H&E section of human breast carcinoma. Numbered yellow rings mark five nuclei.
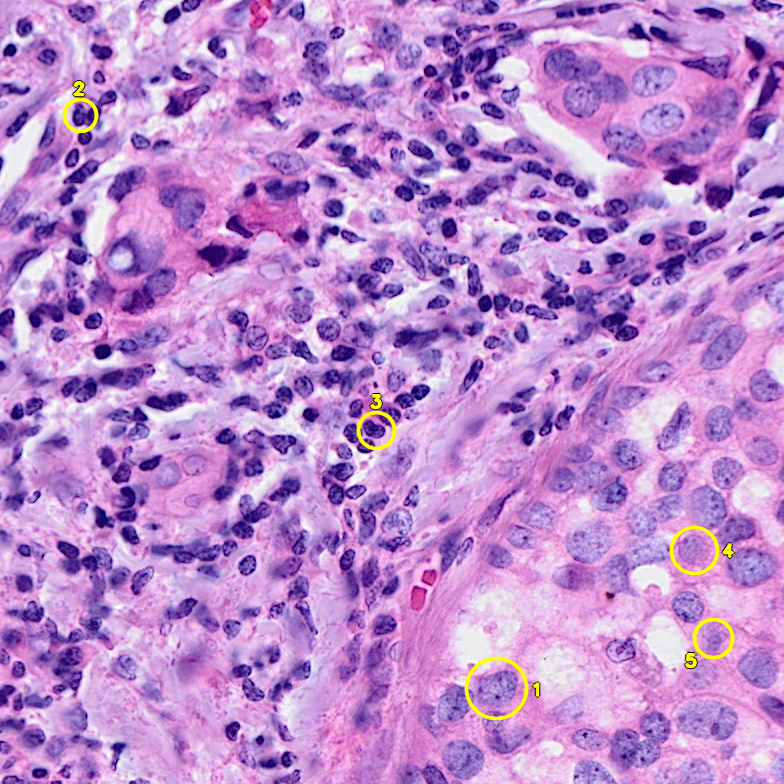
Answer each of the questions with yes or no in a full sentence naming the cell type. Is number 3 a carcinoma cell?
No, the cell that carries number 3 is a lymphocyte, not a carcinoma cell.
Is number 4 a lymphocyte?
No, cell 4 counts as a carcinoma cell rather than as a lymphocyte.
